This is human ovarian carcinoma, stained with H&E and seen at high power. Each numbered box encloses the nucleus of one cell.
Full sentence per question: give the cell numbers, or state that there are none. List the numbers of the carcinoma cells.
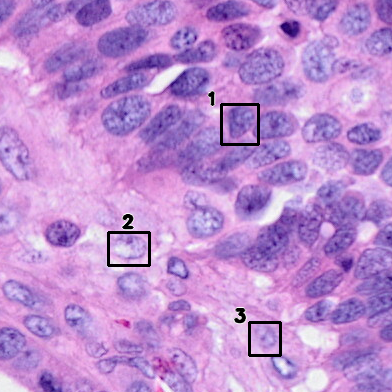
Only cell 1 should be marked as a carcinoma cell.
